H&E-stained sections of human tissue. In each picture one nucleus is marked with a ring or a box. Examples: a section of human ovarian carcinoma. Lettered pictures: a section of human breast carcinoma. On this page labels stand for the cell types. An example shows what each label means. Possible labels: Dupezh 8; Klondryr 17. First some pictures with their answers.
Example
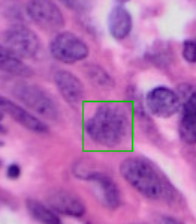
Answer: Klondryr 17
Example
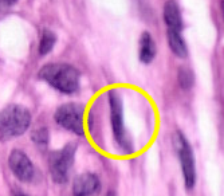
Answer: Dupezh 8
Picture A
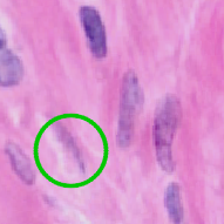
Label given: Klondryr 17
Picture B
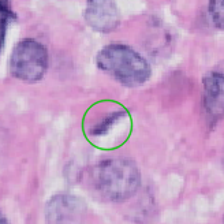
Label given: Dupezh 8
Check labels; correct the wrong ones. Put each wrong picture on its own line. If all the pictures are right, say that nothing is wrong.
A: Dupezh 8, not Klondryr 17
